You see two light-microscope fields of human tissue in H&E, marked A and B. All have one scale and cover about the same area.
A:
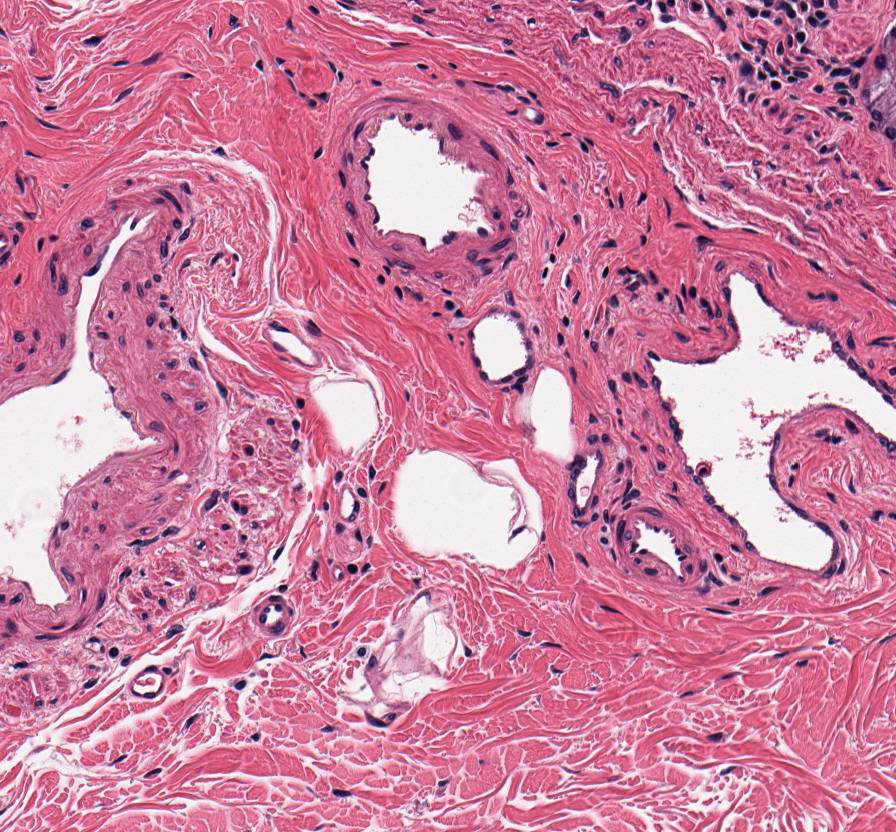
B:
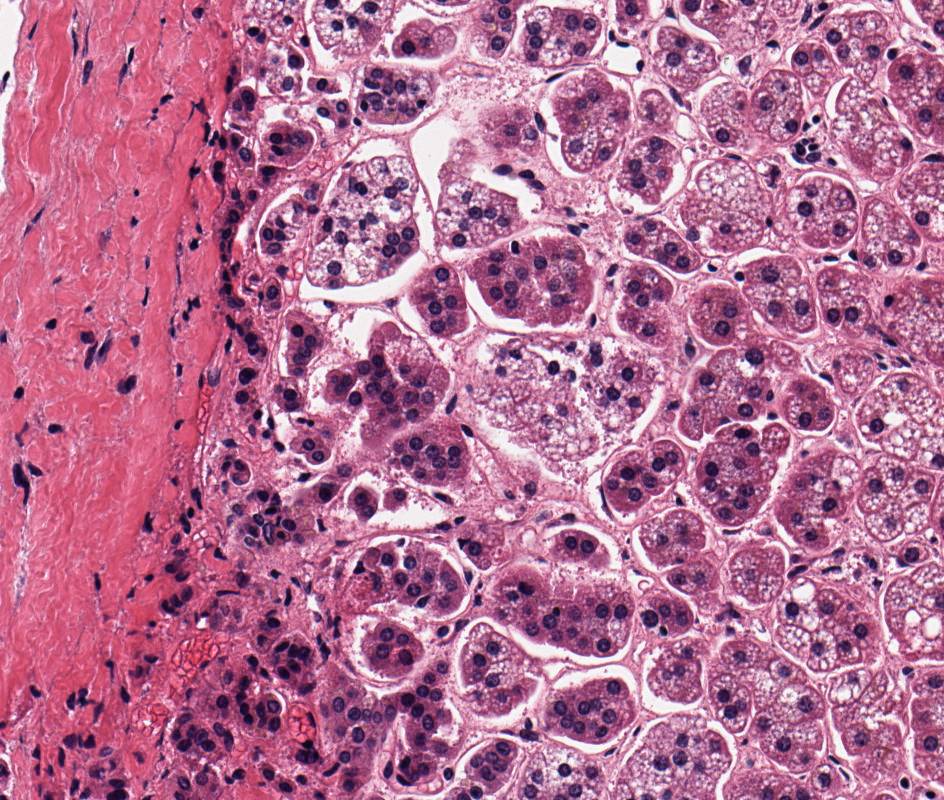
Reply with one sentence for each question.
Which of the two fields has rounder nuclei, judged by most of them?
The nuclei are rounder in field B.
